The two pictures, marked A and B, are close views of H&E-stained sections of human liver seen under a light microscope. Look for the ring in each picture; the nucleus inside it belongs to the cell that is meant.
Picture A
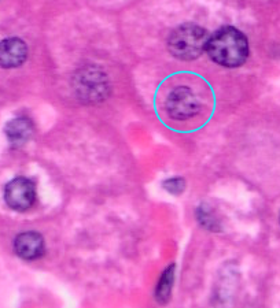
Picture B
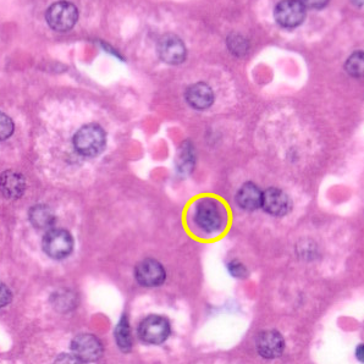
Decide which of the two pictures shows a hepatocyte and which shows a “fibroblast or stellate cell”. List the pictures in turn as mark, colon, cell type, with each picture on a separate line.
A: hepatocyte
B: fibroblast or stellate cell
